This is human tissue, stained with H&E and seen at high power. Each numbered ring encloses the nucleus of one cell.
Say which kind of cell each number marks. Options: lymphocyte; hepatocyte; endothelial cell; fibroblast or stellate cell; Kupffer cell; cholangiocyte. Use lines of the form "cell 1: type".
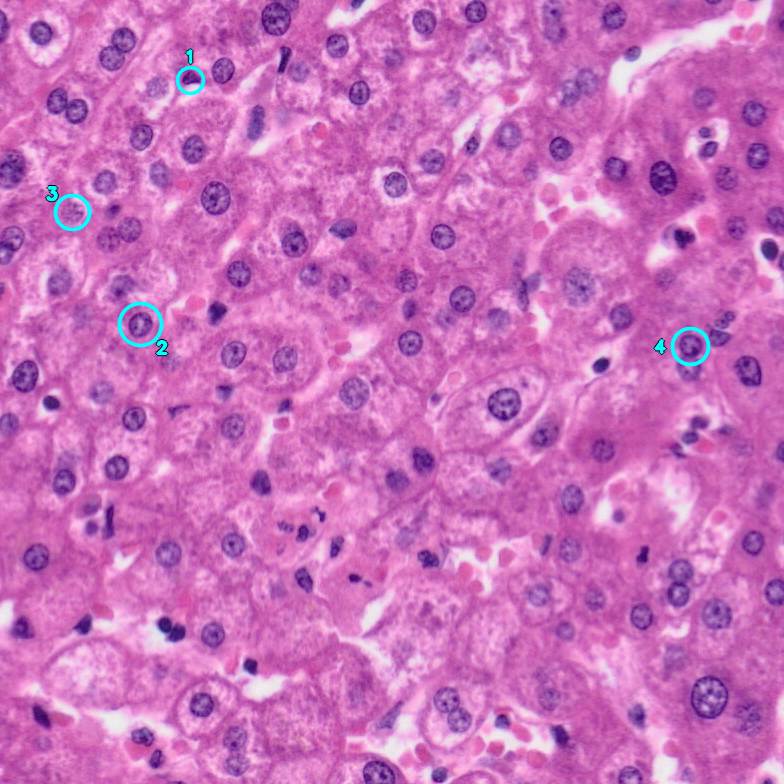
cell 1: endothelial cell
cell 2: hepatocyte
cell 3: hepatocyte
cell 4: hepatocyte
